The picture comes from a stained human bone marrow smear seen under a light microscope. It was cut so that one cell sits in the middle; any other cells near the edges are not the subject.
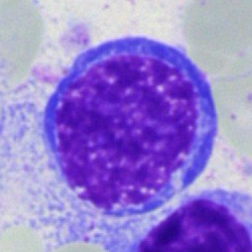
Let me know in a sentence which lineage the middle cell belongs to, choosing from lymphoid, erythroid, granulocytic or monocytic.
The central cell is regarded as belonging to the erythroid lineage.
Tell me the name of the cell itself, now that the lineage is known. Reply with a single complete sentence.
The cell of interest, located centrally, is a proerythroblast.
